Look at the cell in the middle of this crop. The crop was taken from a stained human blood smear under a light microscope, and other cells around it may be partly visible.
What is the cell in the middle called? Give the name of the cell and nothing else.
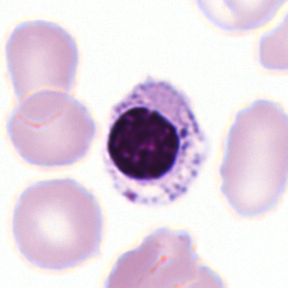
normoblast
